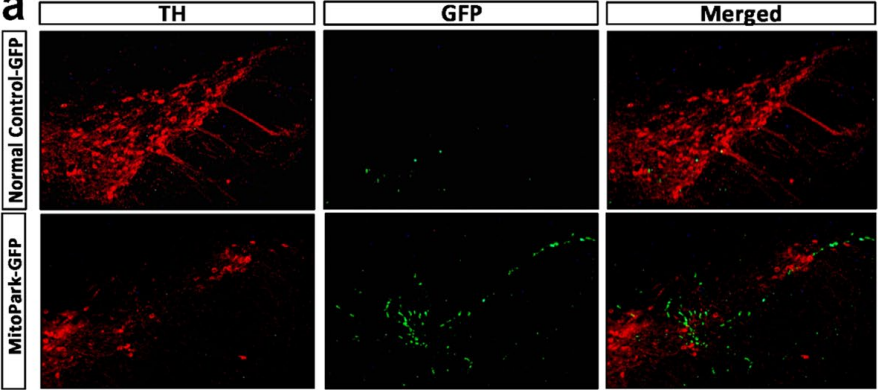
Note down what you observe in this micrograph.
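This is the midbrain substantia nigra, with red-stained nerve cell bodies packed in a band and long fibres running from it. In the upper row the red band is dense and continuous, whereas in the lower row it is sparse and patchy, and small green cells are scattered through the area where the red cells are thin.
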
